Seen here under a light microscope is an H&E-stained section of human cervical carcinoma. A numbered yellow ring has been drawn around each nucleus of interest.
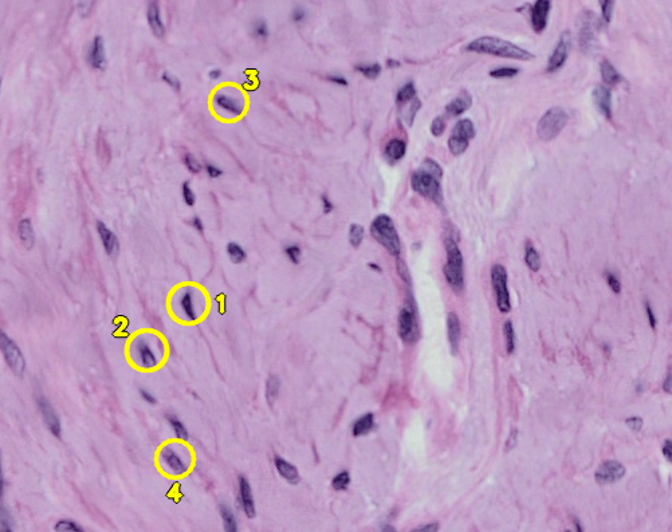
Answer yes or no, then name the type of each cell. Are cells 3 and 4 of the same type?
No, as to type, cell 3 is a fibroblast, and cell 4 is a smooth muscle cell.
